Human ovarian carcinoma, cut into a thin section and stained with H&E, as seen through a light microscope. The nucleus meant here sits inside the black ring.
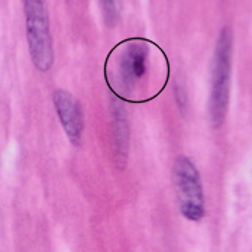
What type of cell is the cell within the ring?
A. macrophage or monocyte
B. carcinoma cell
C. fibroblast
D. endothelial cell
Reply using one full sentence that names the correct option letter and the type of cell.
Option C holds, since the cell within the ring is a fibroblast.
